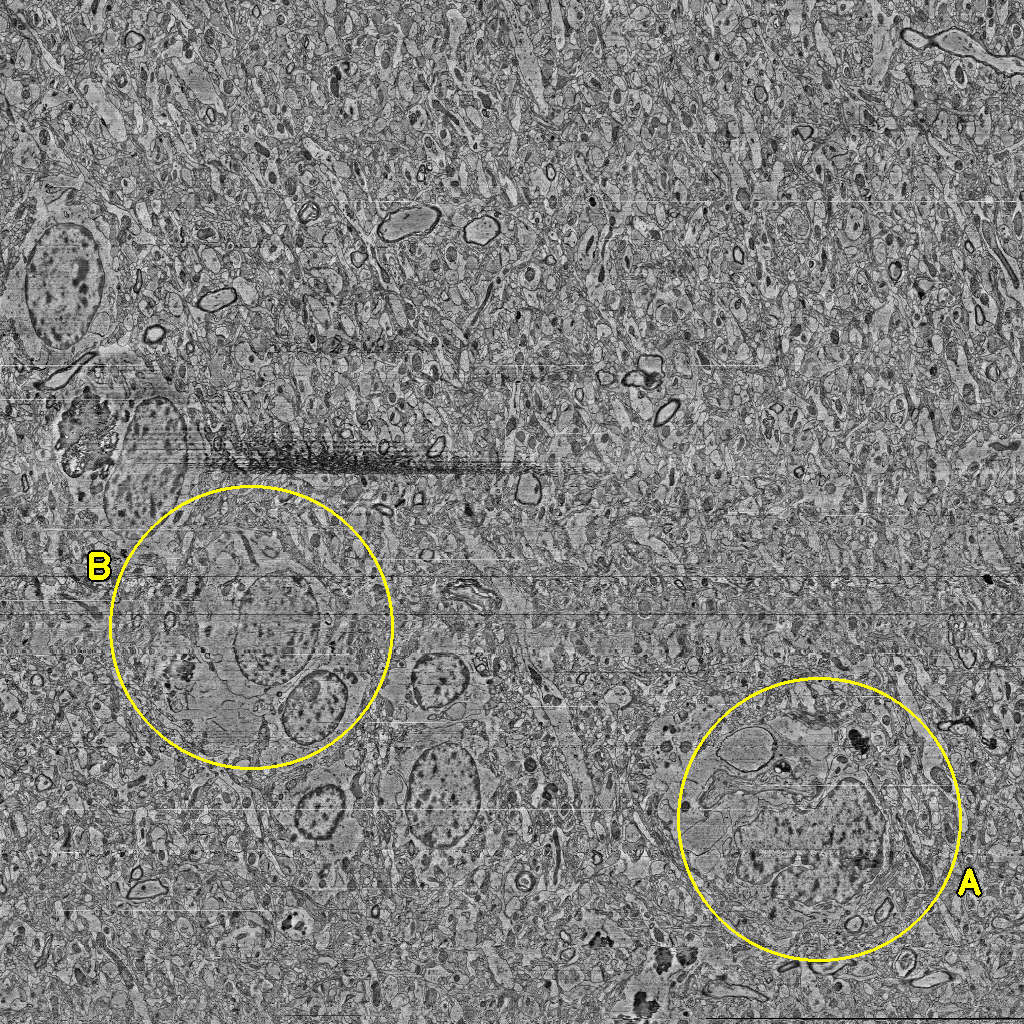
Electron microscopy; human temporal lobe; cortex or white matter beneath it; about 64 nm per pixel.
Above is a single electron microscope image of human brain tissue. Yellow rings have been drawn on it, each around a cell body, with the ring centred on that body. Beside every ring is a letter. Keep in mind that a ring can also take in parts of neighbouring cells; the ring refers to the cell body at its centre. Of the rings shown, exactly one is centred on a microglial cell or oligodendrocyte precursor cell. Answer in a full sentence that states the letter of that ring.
The cell at the centre of ring A is the one asked for.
